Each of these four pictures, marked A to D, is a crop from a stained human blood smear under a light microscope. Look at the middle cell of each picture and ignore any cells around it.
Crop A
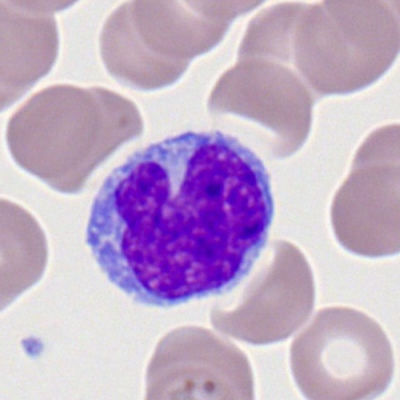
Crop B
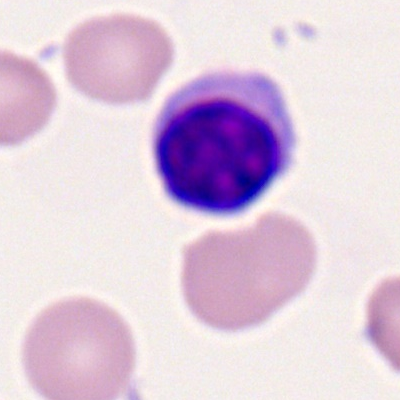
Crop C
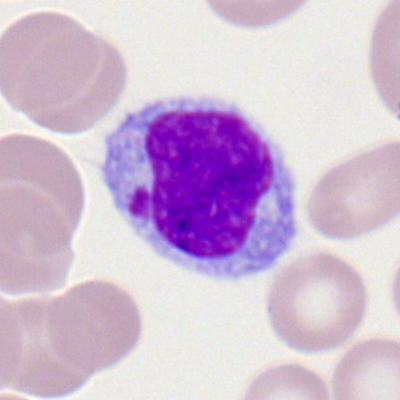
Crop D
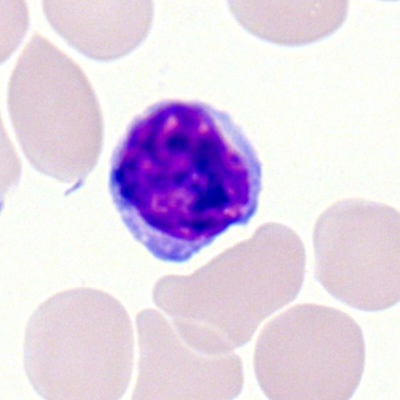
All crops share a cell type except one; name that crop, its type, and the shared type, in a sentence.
Unlike the other crops, all showing lymphocytes, crop A is a monocyte.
